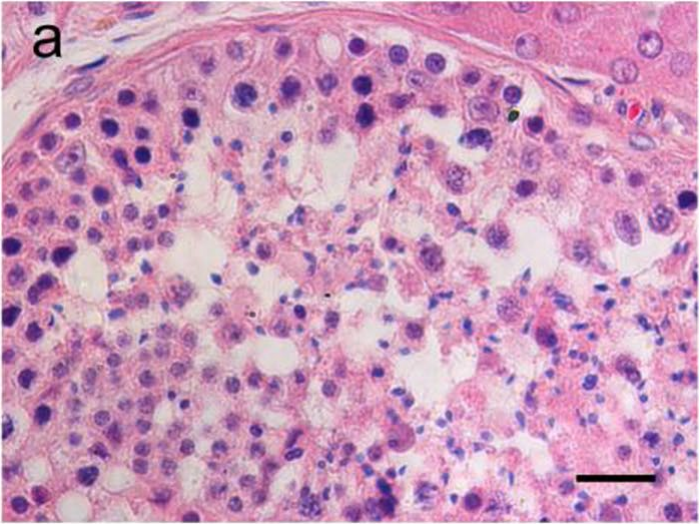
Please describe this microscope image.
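This is a seminiferous tubule of the testis, densely filled with germ cells at successive stages of development. Near the basement membrane lie smaller cells with dark round nuclei, and above them larger round cells with coarse, clumped purple chromatin. Toward the lumen there are small round cells and many small elongated, darkly stained nuclei. A thin pink layered wall surrounds the tubule, and clear spaces lie scattered among the cells.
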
